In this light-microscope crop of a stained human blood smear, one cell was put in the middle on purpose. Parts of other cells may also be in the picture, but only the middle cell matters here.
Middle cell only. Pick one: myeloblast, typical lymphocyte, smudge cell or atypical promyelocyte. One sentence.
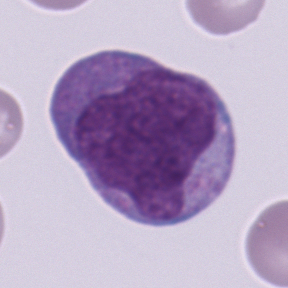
The central cell in this smear crop is an atypical promyelocyte.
